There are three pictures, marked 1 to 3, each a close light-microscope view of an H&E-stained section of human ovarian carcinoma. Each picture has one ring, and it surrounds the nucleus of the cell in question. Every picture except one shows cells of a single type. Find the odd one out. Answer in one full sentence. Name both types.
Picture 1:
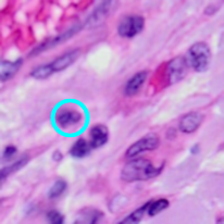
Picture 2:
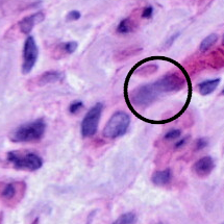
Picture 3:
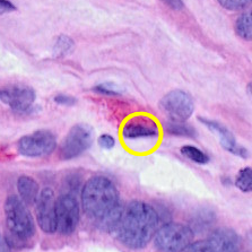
All pictures except 1 show endothelial cells; picture 1 shows a lymphocyte.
